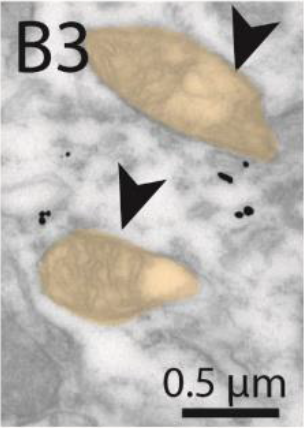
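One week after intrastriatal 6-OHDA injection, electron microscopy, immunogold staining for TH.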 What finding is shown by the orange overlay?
Vacuolized mitochondria.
